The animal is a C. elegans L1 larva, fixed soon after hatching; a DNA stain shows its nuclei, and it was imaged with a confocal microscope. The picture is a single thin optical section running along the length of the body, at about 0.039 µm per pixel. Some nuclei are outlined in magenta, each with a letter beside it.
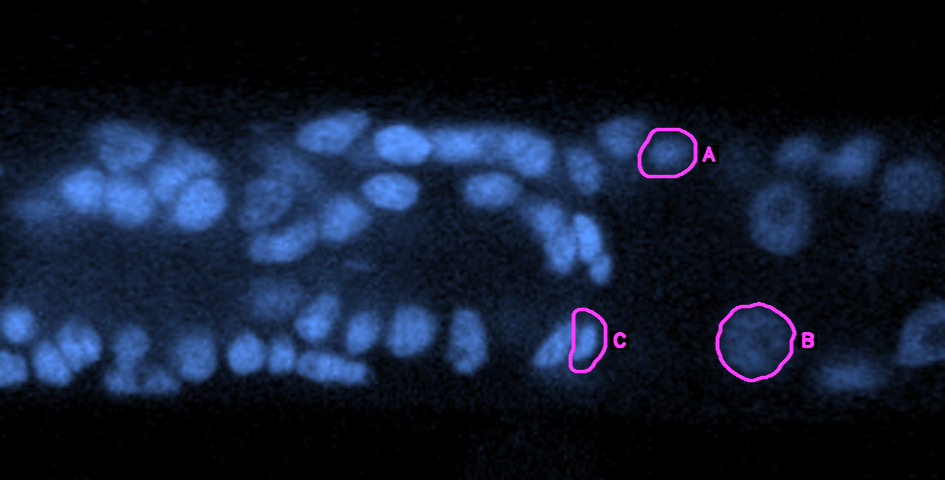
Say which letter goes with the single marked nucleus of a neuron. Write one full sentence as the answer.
A is the one that belongs to a neuron.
